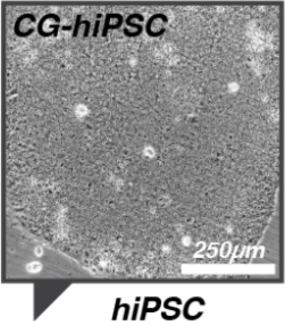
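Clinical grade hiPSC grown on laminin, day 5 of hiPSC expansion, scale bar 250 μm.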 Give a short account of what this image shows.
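Cultured cells form a dense, continuous sheet of small, tightly packed cells with scant space between them. Individual cell outlines are faint and the sheet appears uniform in texture. Scattered small phase-bright round spots lie on the surface of the sheet. Lighter, more loosely arranged areas appear at the upper edge.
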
